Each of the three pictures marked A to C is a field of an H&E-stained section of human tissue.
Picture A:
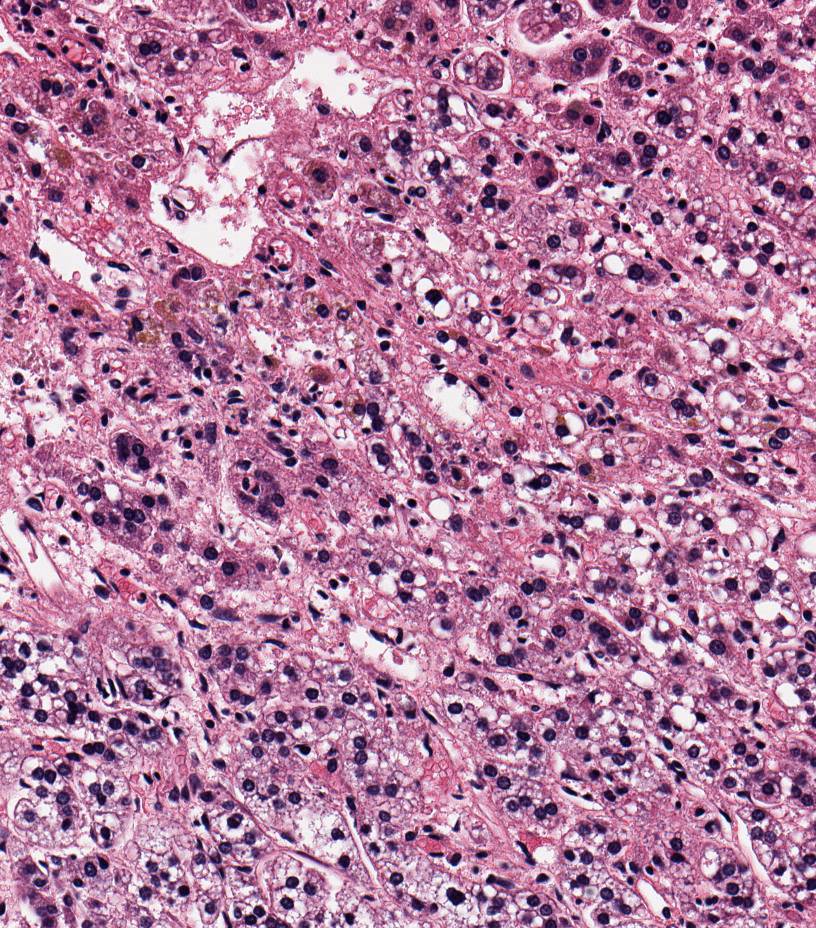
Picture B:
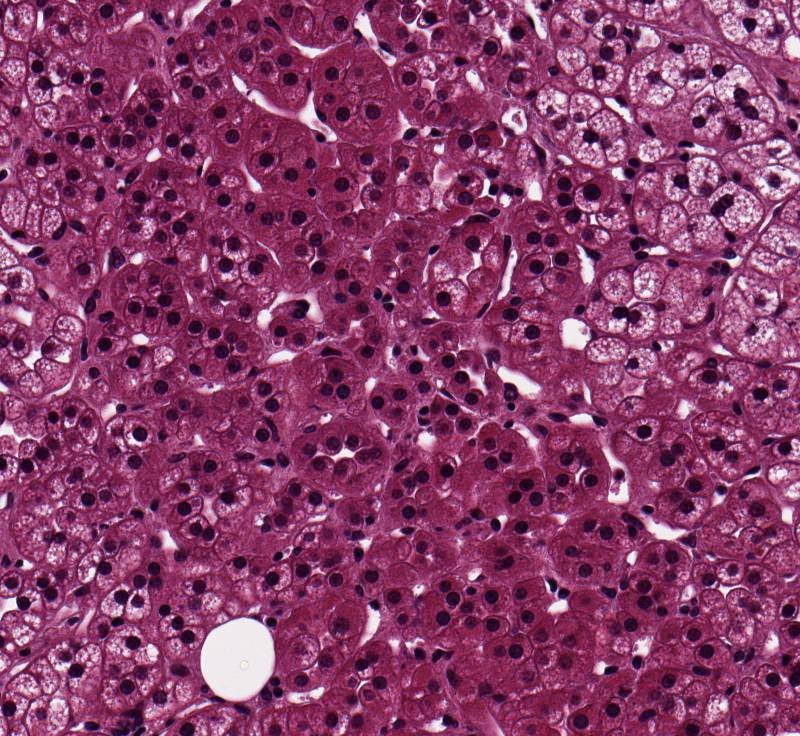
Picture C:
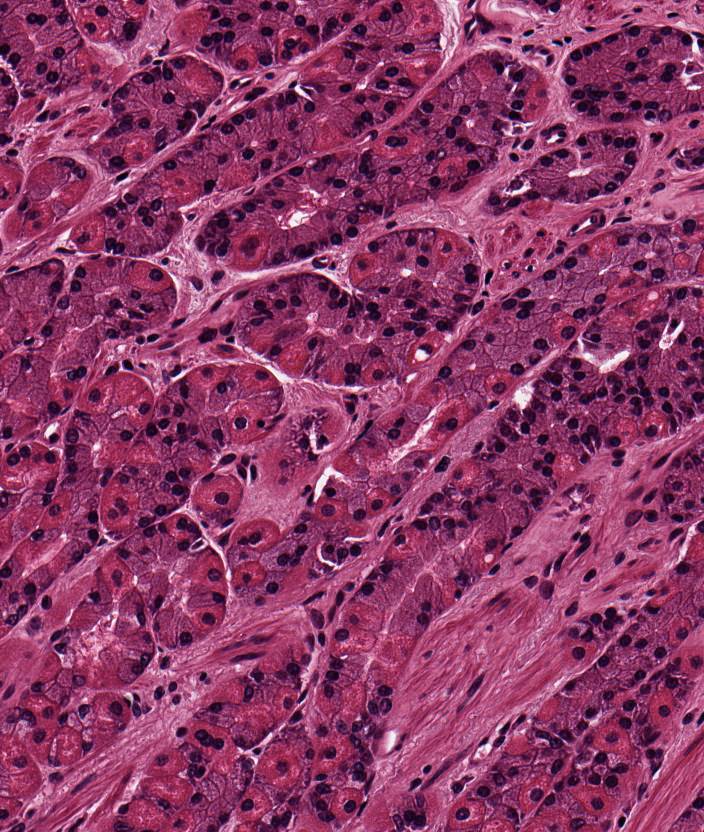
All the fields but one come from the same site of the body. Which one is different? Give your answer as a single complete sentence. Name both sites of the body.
All pictures except C come from the adrenal gland; picture C comes from the stomach.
